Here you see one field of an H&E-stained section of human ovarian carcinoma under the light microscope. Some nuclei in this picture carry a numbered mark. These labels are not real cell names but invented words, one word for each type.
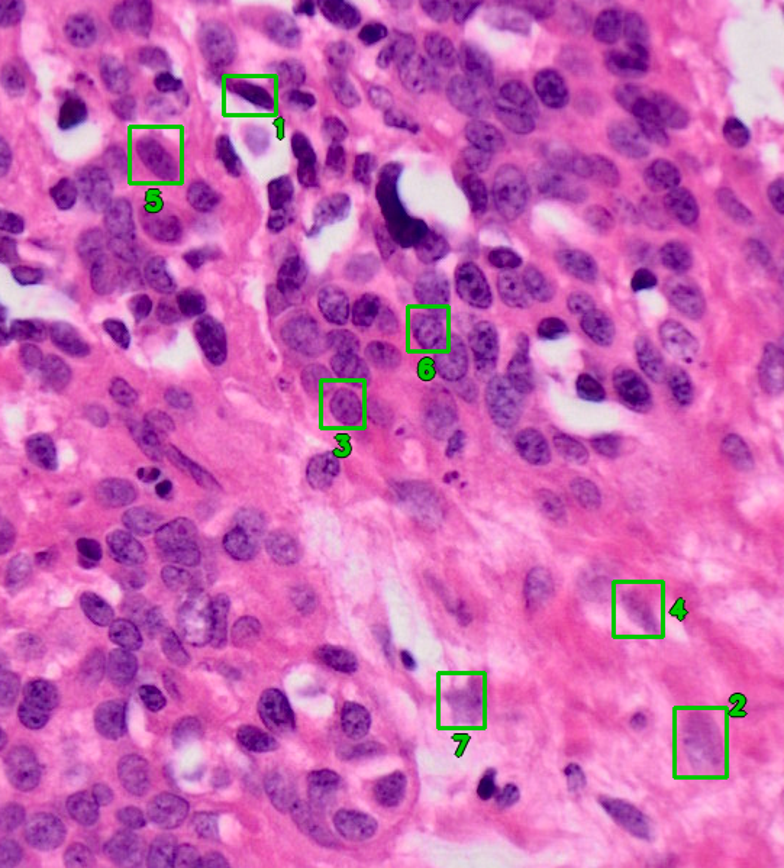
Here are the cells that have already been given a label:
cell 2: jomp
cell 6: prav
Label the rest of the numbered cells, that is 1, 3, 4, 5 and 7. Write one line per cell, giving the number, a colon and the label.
1: prav
3: prav
4: jomp
5: prav
7: jomp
